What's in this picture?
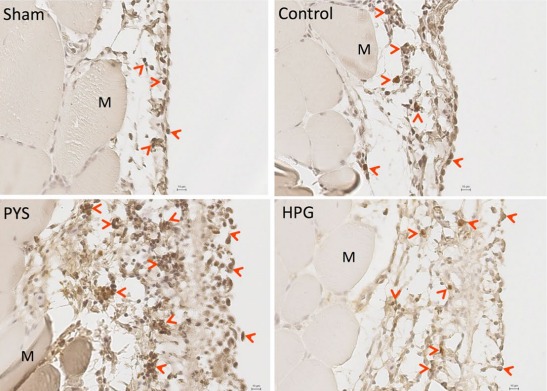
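In two of the four views the connective layer is thin, with only a few brown rounded cells along it. In one view the layer is much thickened and densely packed with cells, many of them rounded with dark brown cytoplasm, lying in clusters. In another view the layer is loose and moderately cellular, with fewer brown cells dispersed among pale fibres.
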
